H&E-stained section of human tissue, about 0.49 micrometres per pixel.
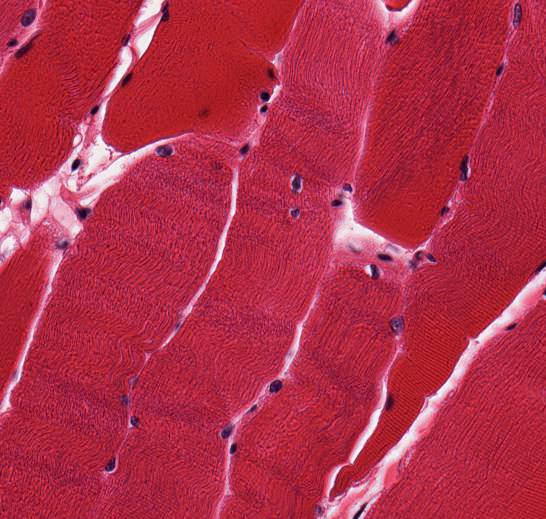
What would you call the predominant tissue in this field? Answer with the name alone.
skeletal muscle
